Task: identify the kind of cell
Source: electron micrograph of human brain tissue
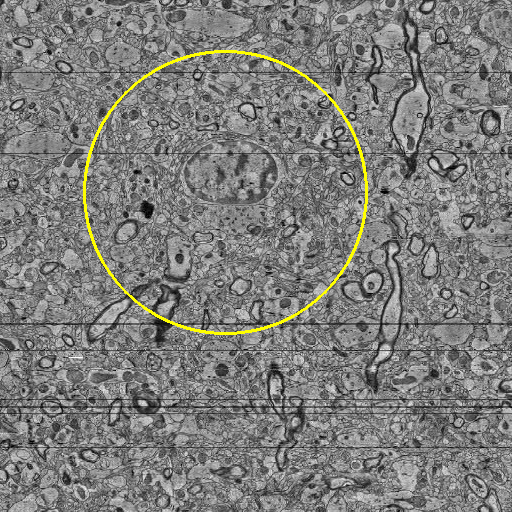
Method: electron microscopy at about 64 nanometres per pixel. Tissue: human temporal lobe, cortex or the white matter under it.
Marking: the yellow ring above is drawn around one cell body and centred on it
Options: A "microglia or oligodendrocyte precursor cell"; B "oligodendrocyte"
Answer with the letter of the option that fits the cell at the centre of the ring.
A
